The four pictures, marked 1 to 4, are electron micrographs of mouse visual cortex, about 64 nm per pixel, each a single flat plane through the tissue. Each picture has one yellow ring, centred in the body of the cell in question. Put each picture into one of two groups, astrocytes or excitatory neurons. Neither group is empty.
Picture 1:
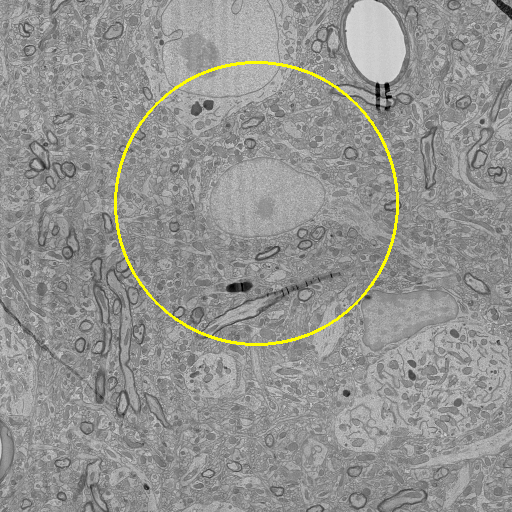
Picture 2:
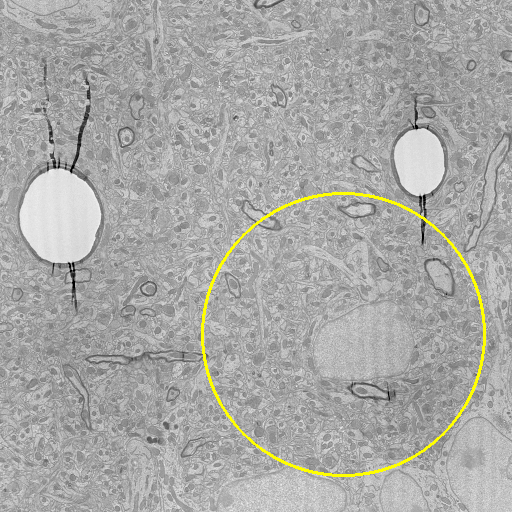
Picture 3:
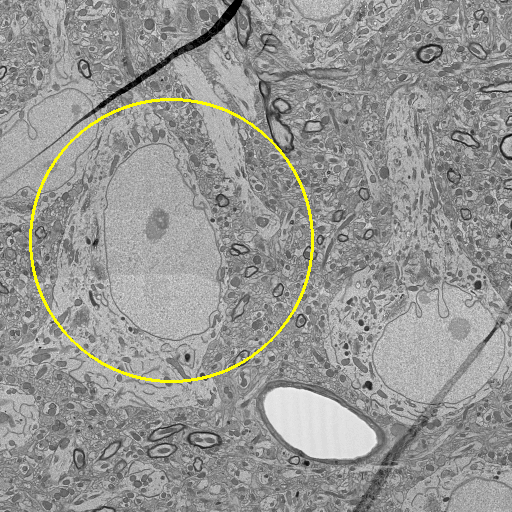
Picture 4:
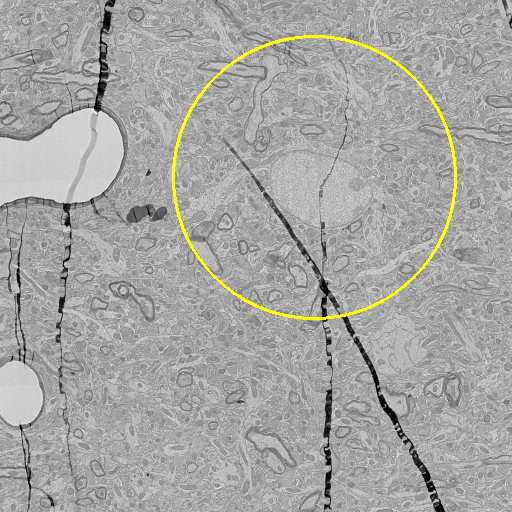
Pictures 1, 2 and 4 show astrocytes; picture 3 shows an excitatory neuron.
